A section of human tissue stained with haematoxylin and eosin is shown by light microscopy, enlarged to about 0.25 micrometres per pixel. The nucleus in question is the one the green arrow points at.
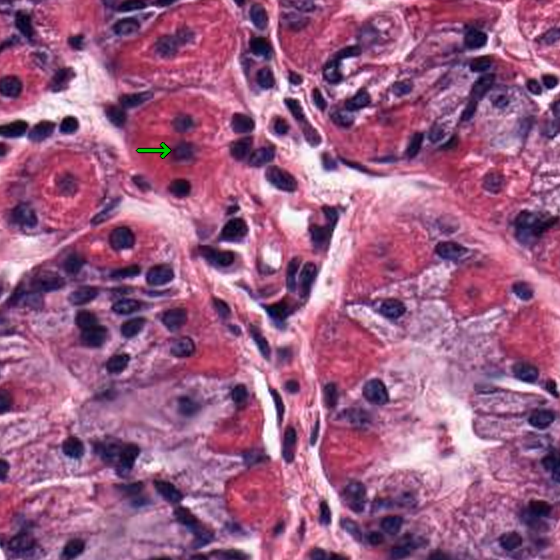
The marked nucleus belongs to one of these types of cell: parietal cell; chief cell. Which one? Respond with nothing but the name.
parietal cell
